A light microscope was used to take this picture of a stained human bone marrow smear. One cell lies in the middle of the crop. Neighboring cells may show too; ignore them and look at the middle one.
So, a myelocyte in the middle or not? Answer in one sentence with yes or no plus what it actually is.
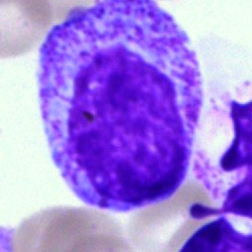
Yes, that is right: the middle cell is a myelocyte.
